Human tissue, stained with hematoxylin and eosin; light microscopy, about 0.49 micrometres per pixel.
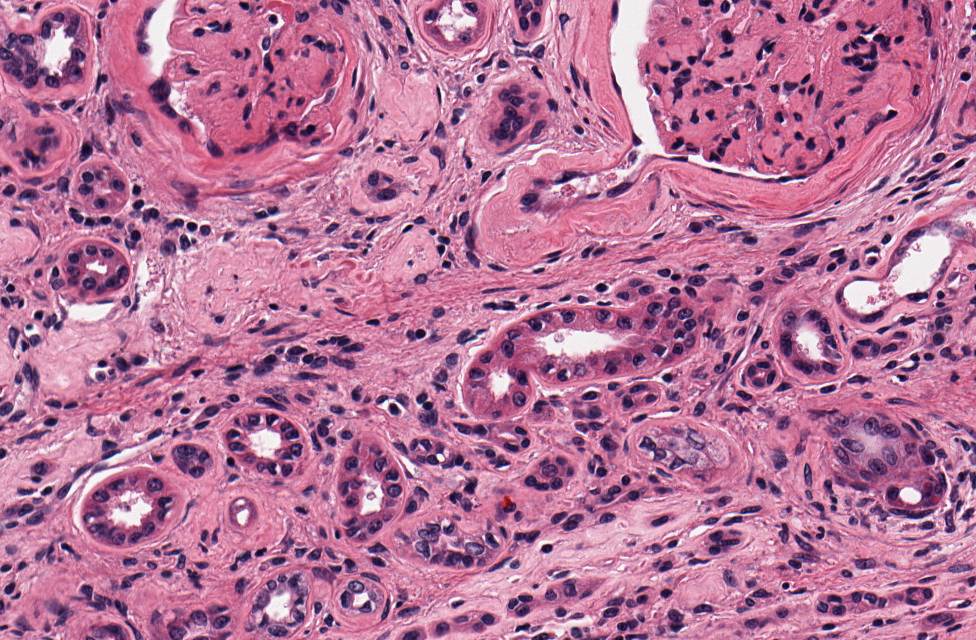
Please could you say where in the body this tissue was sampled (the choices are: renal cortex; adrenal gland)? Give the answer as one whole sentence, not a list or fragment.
The sampling site of this tissue was the renal cortex.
